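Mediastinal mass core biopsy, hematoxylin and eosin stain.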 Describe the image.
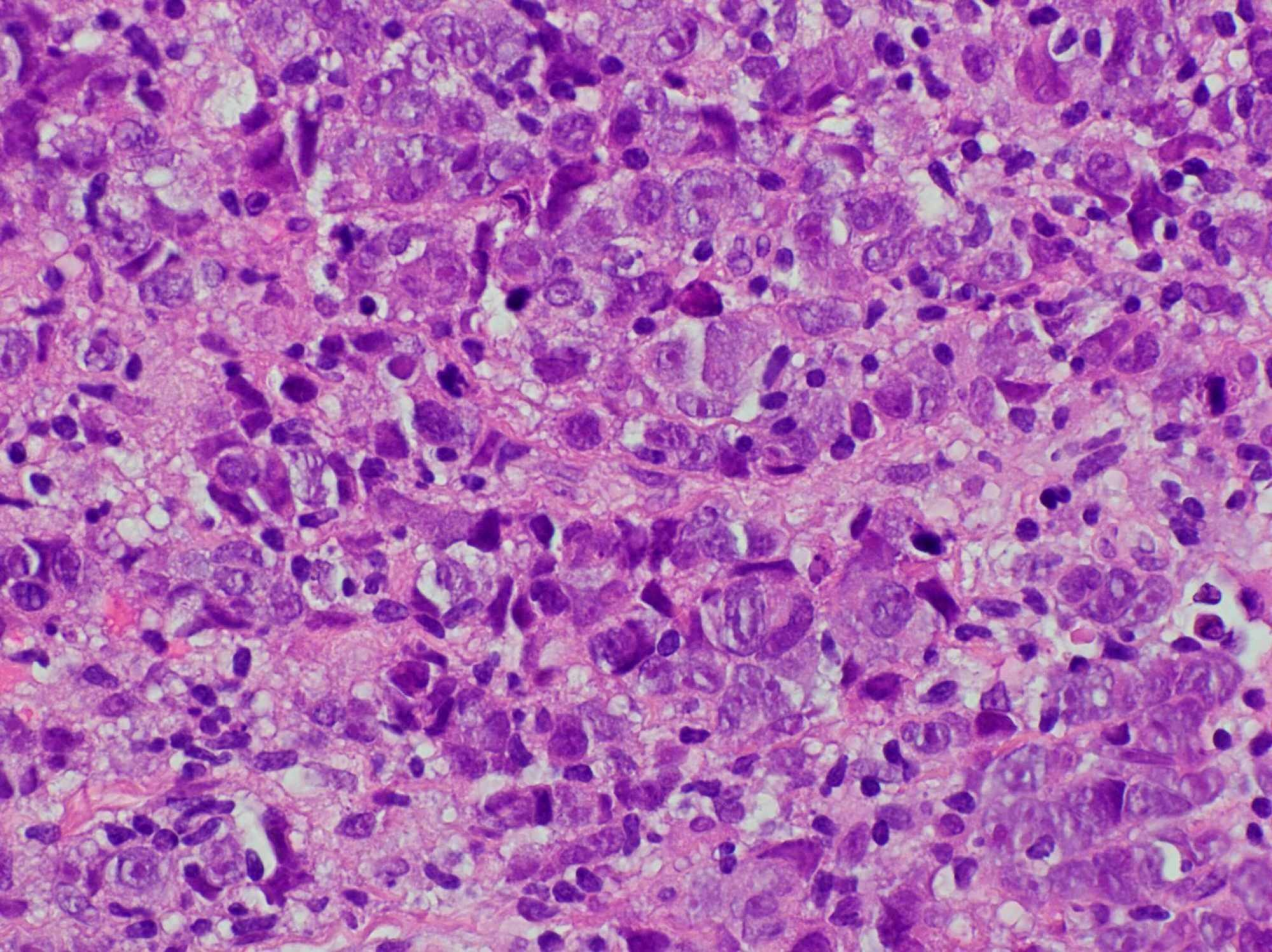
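This is a tumor made of large polygonal cells that vary a good deal in size. They lie in loose sheets, with many small, dark, round cells scattered among them. The large cells have big nuclei with pale, open chromatin, a crisp nuclear rim and, in places, a visible nucleolus.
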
